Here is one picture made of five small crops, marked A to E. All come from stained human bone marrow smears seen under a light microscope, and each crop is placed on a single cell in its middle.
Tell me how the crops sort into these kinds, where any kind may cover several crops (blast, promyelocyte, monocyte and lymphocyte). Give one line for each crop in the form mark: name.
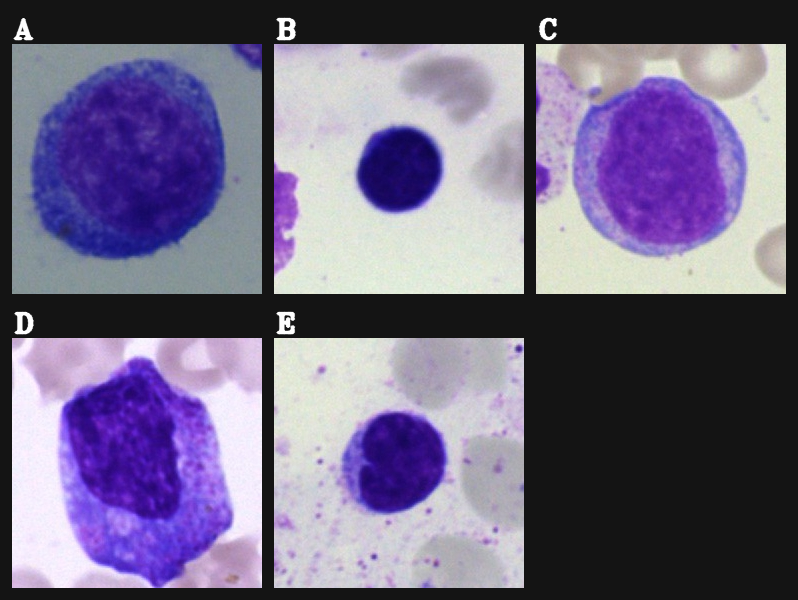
A: blast
B: lymphocyte
C: blast
D: promyelocyte
E: lymphocyte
